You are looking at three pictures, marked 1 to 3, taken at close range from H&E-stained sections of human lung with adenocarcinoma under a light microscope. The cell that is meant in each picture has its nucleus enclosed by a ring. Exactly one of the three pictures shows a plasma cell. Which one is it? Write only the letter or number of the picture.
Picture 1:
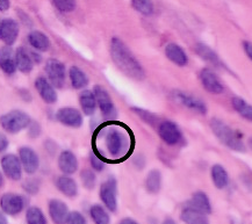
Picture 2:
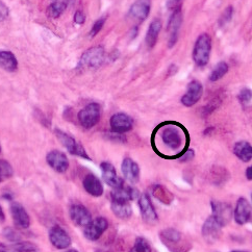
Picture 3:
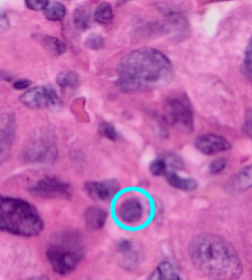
2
